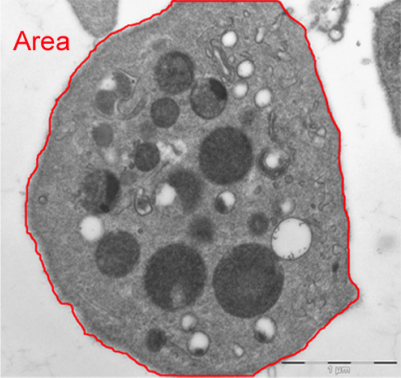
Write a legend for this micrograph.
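This is a thin section through a single platelet, a small cell fragment without a nucleus, cut roughly through its long axis. Its outline is smooth and rounded, and the cytoplasm is crowded with round membrane-bound granules of grey to dark density, several of them quite large. Between the granules lie small clear round vesicles and a few elongated membrane profiles.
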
